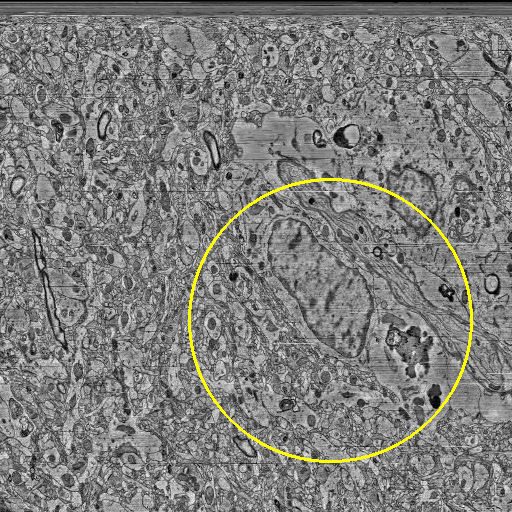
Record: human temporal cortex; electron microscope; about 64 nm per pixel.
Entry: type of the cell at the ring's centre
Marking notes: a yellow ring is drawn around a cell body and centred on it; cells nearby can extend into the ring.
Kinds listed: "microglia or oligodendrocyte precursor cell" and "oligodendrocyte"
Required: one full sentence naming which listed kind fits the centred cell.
My entry names a microglial cell or oligodendrocyte precursor cell as the cell whose body the yellow ring centres on.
